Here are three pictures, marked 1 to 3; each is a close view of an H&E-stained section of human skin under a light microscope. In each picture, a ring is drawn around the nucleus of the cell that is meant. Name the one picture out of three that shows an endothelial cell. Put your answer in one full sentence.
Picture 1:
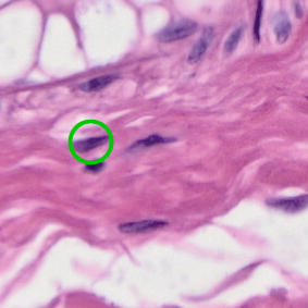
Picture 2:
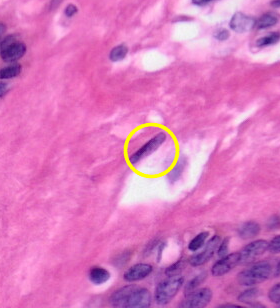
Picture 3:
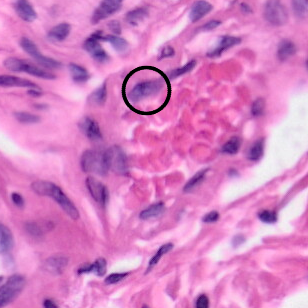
The picture with the endothelial cell is 3.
